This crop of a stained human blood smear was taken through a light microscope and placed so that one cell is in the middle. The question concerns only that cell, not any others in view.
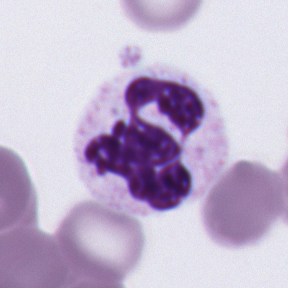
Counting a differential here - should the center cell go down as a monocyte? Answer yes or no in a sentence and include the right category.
No, a neutrophil rather than a monocyte is the cell at the centre of the crop.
